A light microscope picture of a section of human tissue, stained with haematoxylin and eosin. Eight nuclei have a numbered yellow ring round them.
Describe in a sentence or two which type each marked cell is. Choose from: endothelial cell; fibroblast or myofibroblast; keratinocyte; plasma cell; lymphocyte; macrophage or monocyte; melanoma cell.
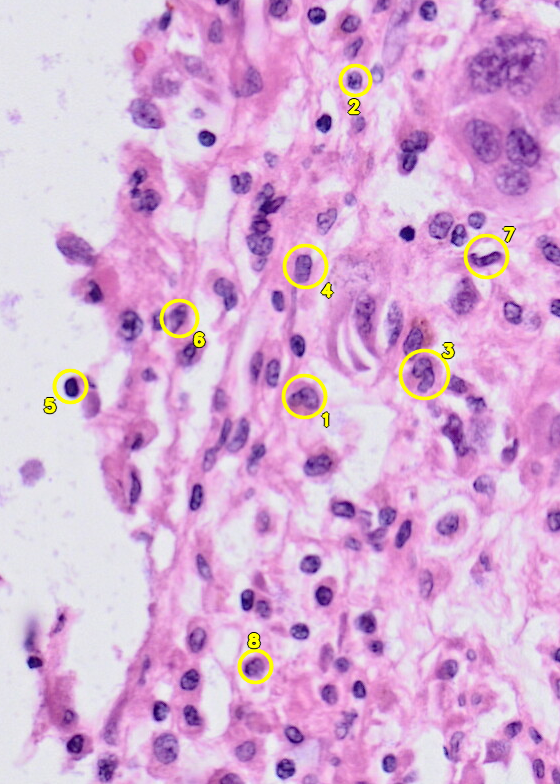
Cell 1 is a macrophage or monocyte, cell 2 is a lymphocyte, cell 3 is a macrophage or monocyte, cell 4 is a macrophage or monocyte, cell 5 is a lymphocyte, cell 6 is a macrophage or monocyte, cell 7 is a fibroblast or myofibroblast and cell 8 is a macrophage or monocyte.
